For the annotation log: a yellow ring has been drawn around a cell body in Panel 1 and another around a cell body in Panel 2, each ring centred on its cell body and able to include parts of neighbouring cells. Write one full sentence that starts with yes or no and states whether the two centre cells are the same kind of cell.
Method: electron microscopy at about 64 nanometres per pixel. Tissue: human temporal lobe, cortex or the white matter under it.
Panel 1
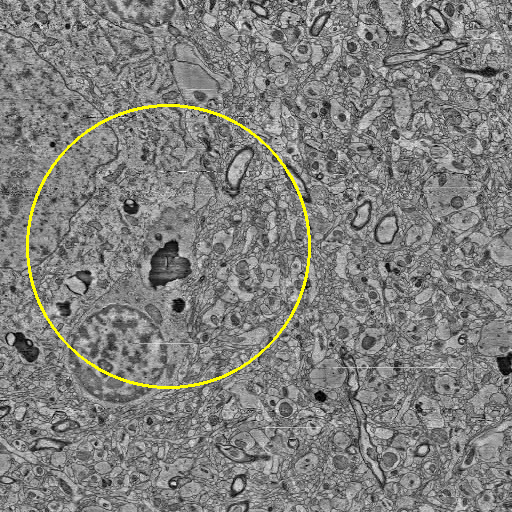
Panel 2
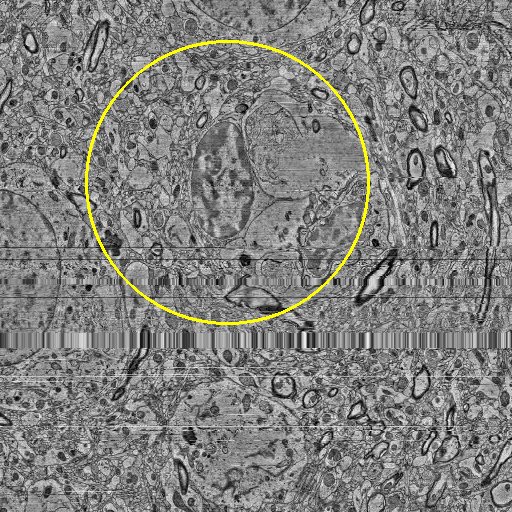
No, the two centre cells are two kinds of cell.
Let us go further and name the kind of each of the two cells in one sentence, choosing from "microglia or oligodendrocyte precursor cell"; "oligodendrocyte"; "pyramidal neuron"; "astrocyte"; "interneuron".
The ring of the first picture is on an oligodendrocyte, the ring of the second on a microglial cell or oligodendrocyte precursor cell.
